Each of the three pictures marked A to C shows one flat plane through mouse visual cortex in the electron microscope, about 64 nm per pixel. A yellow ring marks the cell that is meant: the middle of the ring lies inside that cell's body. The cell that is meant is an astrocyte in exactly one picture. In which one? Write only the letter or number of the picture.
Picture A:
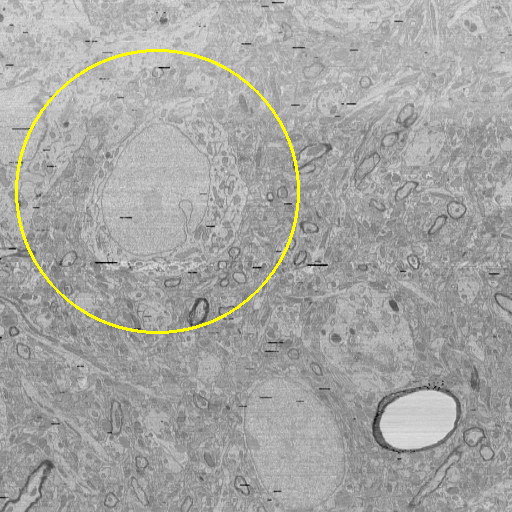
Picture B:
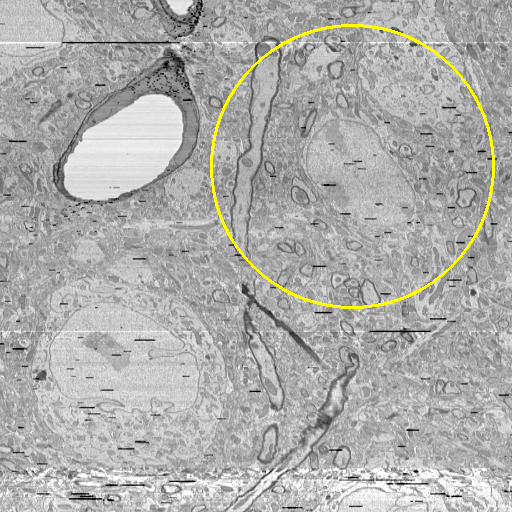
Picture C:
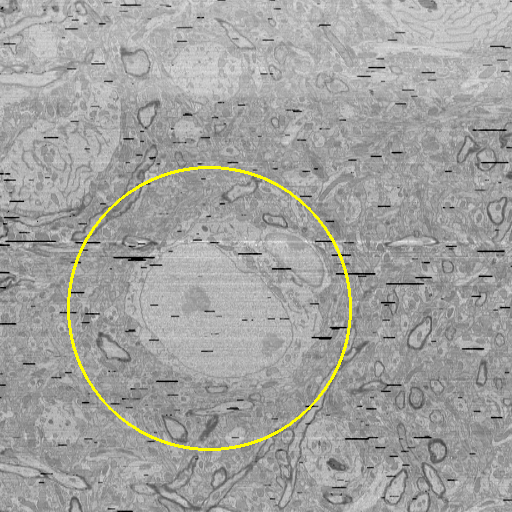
B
